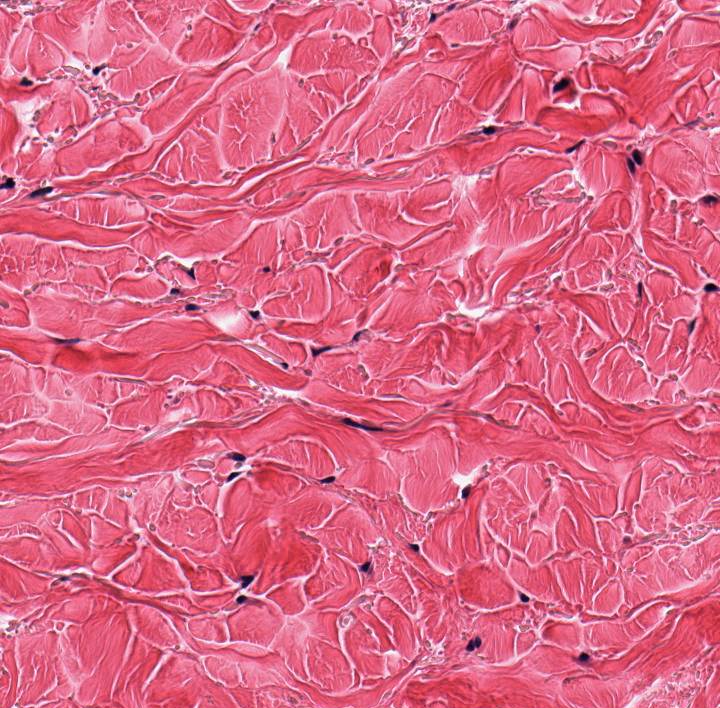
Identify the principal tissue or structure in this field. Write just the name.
dermis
